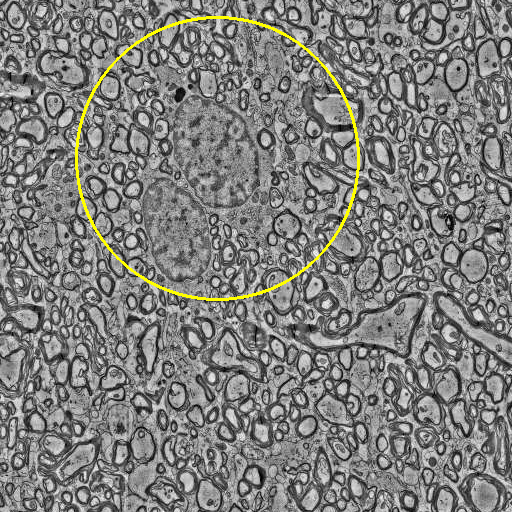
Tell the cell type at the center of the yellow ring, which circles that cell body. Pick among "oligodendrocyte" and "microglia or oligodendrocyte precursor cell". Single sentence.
The ring is centered on the body of an oligodendrocyte.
